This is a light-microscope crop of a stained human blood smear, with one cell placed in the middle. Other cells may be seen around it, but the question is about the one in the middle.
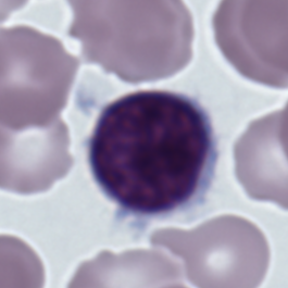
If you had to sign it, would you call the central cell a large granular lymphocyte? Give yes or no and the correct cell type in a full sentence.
No, that guess of a large granular lymphocyte misses; the central cell is a hairy cell.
